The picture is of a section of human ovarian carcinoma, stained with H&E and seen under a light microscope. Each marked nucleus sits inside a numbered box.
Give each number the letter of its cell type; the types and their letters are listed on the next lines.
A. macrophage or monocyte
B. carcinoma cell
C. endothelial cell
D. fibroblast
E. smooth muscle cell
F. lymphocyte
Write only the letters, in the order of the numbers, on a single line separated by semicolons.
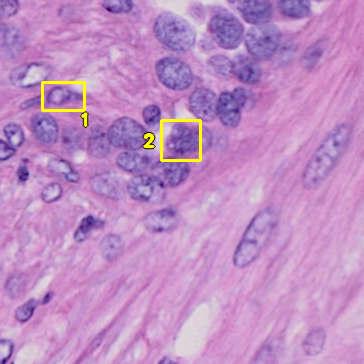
D; B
